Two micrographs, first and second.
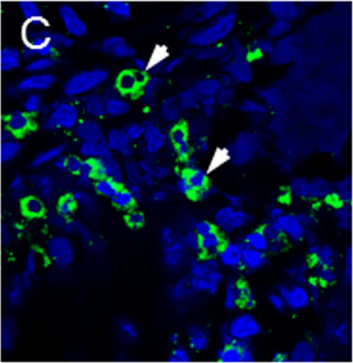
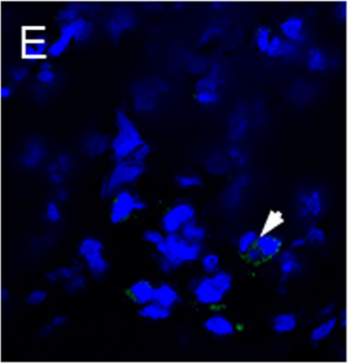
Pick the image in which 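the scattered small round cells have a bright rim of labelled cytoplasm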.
the first image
